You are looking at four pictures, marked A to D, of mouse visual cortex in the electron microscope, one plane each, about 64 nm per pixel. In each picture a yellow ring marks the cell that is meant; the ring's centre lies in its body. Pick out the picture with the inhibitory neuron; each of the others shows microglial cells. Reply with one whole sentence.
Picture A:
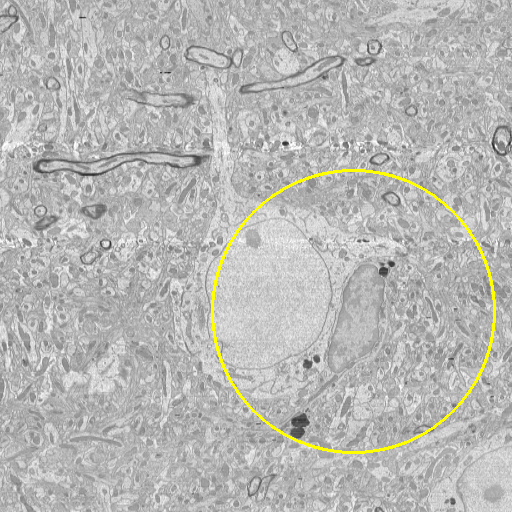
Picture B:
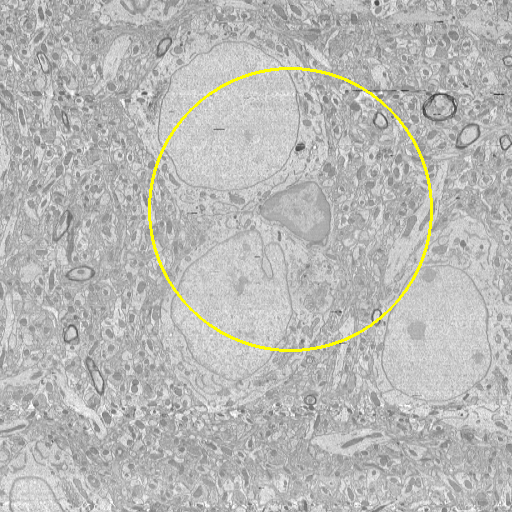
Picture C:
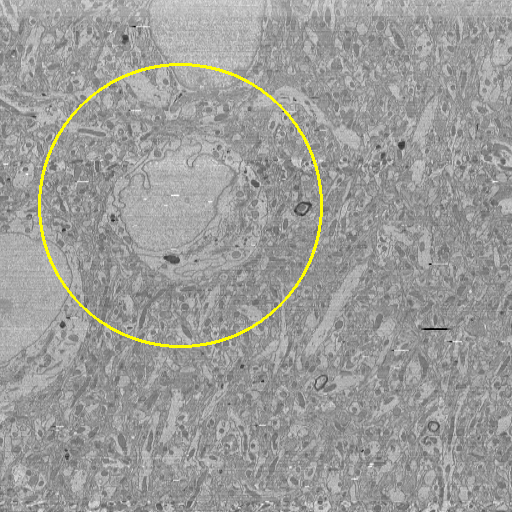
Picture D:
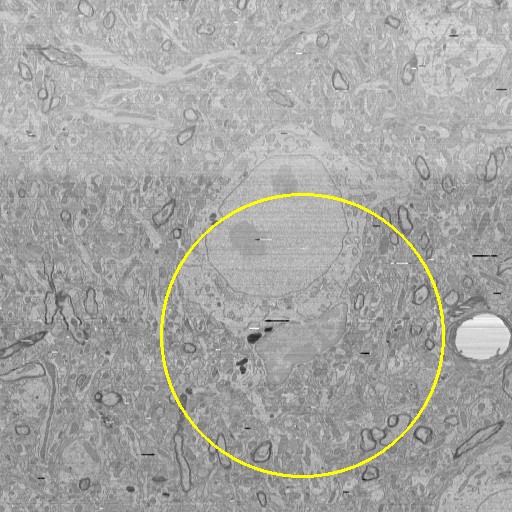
It is picture C that shows the inhibitory neuron.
